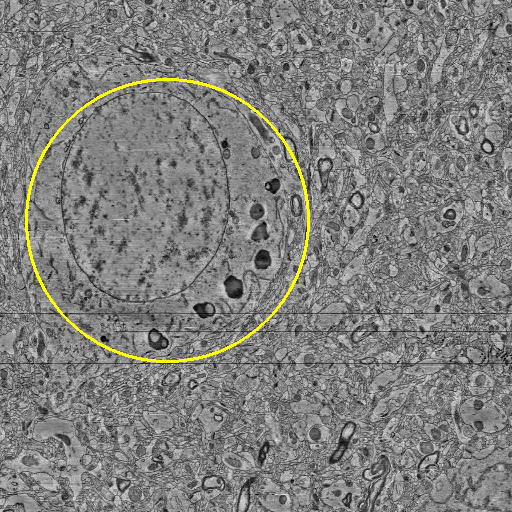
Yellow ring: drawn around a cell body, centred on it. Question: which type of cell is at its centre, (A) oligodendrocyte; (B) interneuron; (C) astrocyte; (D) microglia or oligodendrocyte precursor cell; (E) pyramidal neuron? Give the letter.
E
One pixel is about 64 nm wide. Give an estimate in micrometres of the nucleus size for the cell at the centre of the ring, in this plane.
In this plane, the nucleus of the cell at the centre of the ring measures about 14 by 11 micrometres.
